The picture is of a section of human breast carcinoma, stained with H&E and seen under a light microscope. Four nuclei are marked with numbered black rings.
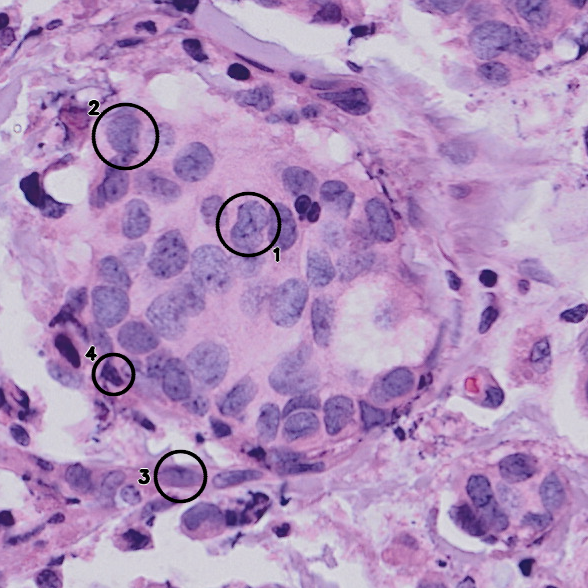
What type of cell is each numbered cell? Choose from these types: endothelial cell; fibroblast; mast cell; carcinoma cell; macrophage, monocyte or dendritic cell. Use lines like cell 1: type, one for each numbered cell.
cell 1: carcinoma cell
cell 2: carcinoma cell
cell 3: endothelial cell
cell 4: carcinoma cell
